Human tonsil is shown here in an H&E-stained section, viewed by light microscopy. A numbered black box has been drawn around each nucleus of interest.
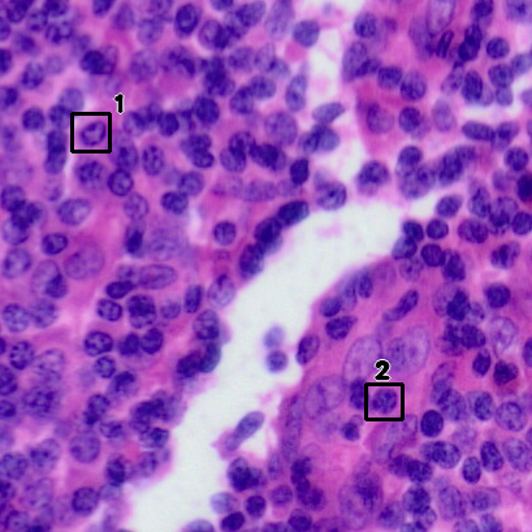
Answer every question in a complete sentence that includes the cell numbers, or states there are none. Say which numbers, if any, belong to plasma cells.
Among the numbered cells, cell 1 alone is a plasma cell.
